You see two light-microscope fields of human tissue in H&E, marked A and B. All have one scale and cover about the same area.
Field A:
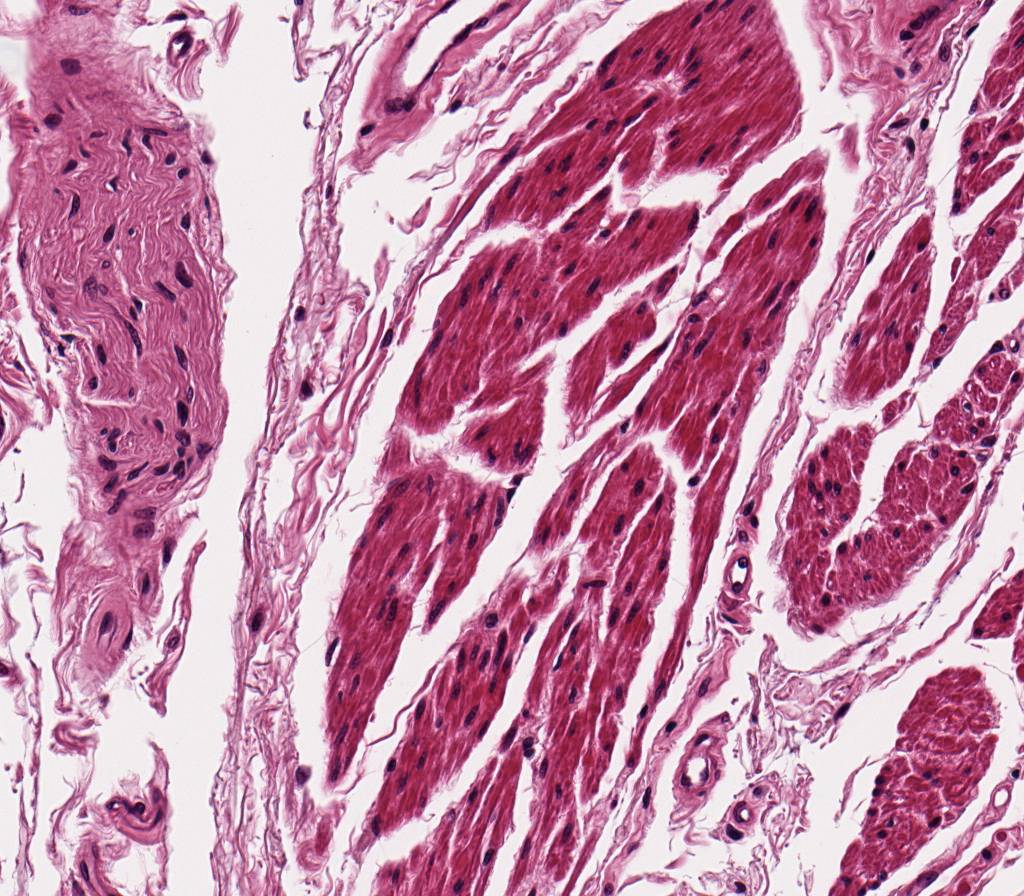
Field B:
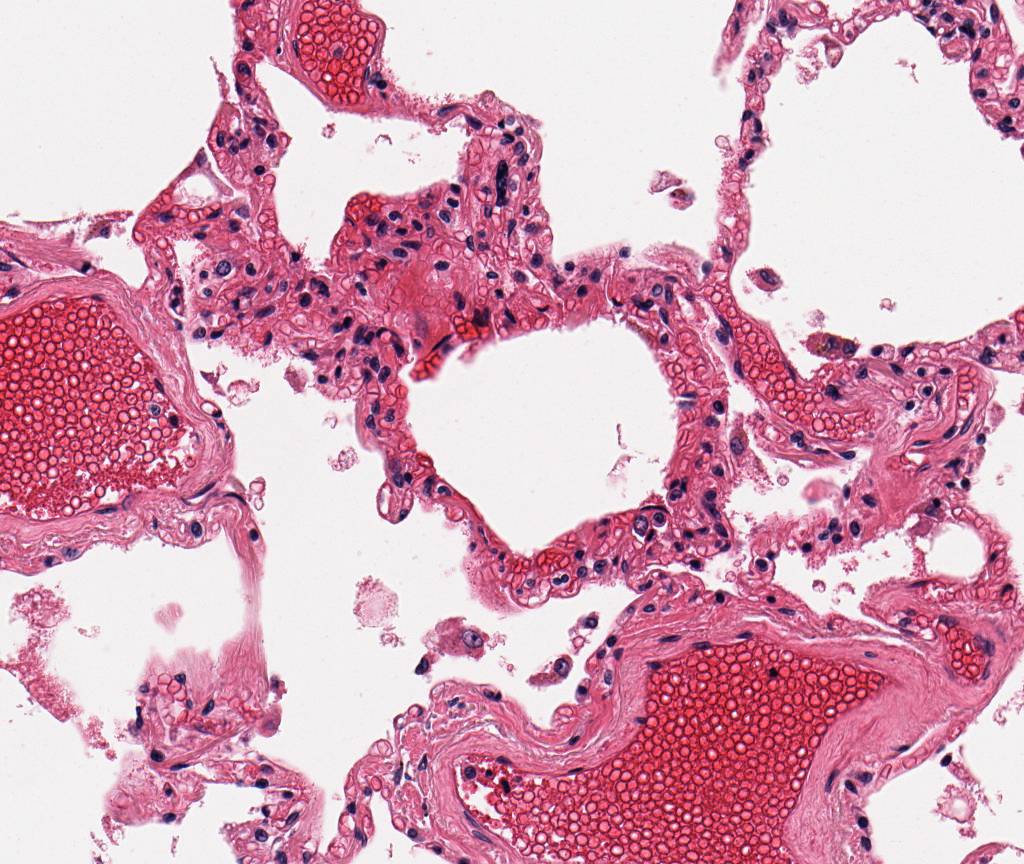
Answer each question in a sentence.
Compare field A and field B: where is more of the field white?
More of field B is empty and white.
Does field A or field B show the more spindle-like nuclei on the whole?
On the whole the nuclei of field A are more drawn out than those of field B.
